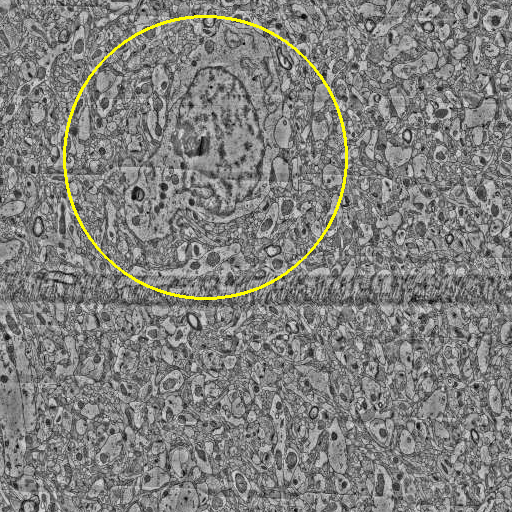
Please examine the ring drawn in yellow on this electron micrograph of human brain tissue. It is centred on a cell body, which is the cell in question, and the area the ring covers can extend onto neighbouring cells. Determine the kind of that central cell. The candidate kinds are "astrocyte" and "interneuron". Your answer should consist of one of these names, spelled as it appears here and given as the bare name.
interneuron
